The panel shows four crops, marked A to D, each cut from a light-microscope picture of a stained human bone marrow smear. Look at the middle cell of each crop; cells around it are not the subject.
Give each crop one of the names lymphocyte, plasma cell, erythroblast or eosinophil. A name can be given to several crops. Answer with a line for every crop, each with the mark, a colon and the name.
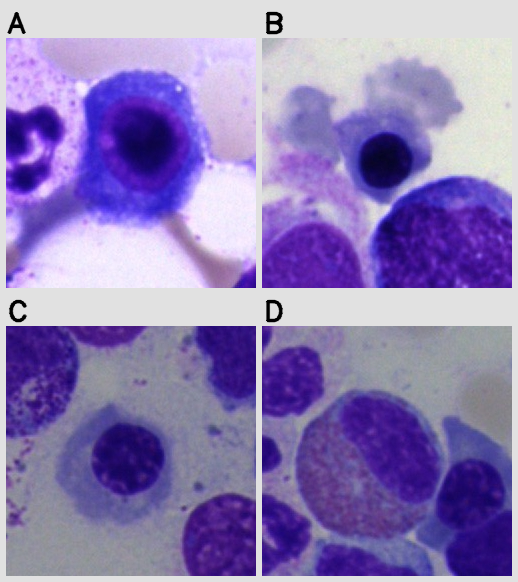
A: plasma cell
B: erythroblast
C: erythroblast
D: eosinophil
